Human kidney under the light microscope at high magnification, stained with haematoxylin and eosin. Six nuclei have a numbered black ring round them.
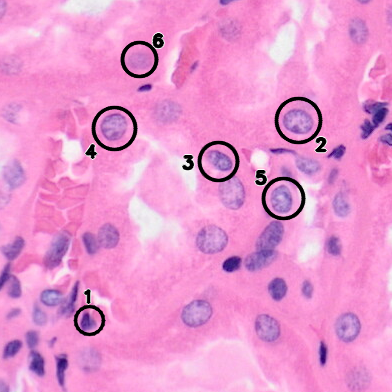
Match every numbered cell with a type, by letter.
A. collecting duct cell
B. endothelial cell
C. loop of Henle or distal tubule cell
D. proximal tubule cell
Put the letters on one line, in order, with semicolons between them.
B; D; D; D; A; D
